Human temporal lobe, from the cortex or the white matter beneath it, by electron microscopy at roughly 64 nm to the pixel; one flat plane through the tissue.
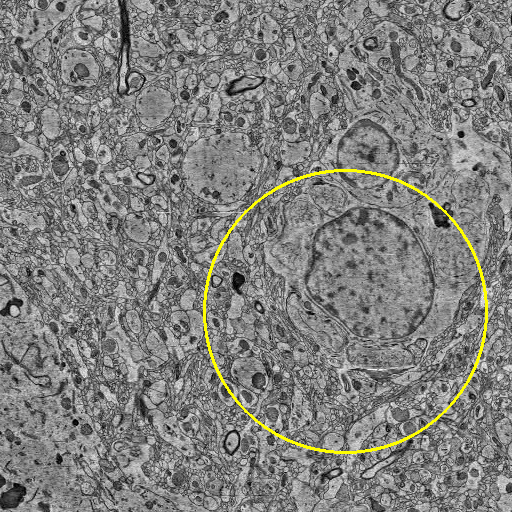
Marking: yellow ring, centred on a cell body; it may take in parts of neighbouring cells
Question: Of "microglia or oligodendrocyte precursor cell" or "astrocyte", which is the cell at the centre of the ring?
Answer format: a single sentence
The ring surrounds the body of an astrocyte.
